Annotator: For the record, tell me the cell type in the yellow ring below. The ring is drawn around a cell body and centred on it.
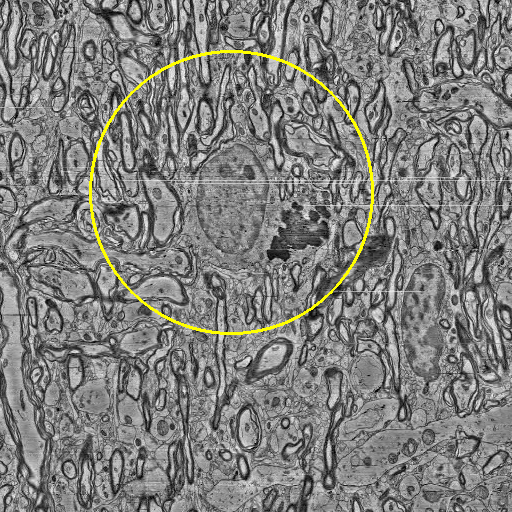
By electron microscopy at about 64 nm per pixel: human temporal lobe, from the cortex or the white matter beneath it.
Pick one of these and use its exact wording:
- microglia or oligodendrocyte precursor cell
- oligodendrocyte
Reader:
oligodendrocyte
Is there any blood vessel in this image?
No, a blood vessel is absent from this picture.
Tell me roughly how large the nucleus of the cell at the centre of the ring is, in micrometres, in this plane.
The nucleus is approximately 8 micrometres long but only about 5 wide, clearly longer than it is wide in this plane.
